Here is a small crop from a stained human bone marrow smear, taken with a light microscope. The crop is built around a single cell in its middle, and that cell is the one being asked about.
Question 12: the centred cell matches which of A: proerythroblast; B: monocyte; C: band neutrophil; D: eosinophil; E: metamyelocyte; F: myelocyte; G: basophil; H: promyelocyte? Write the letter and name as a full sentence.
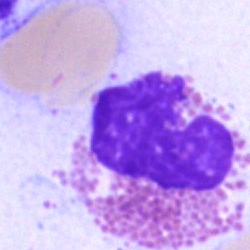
As the central cell is an eosinophil, option D is correct.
